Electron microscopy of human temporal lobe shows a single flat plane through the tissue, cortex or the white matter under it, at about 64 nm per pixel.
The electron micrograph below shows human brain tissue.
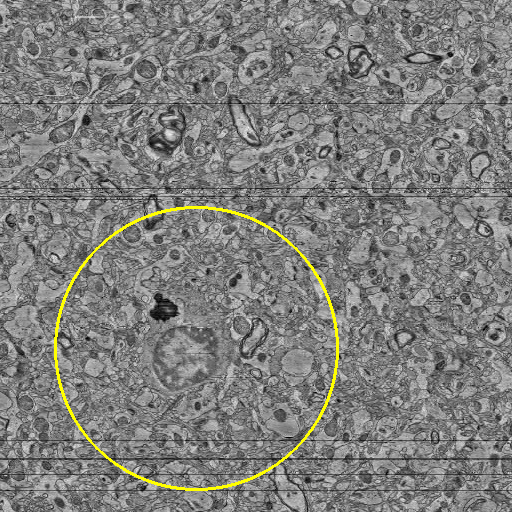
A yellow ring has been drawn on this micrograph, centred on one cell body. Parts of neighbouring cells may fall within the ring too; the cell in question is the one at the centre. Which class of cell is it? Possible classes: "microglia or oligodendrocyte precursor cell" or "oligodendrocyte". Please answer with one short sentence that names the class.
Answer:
In the centre of the ring sits an oligodendrocyte.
